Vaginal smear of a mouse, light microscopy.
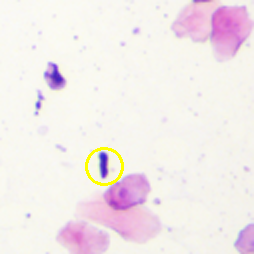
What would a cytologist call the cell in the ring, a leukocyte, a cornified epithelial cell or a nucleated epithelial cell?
A cytologist would call it a leukocyte.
